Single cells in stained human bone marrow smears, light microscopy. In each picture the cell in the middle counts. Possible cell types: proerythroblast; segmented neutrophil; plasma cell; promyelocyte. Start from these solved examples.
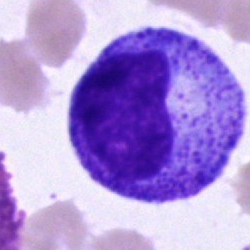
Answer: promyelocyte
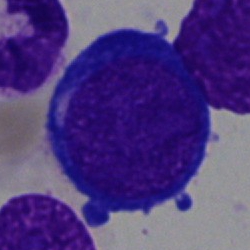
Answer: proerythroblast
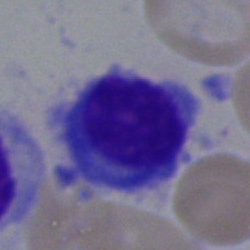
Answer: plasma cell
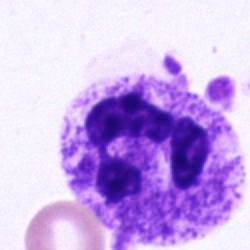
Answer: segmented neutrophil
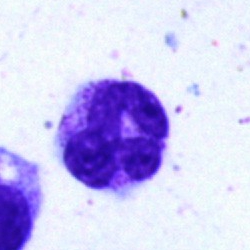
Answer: segmented neutrophil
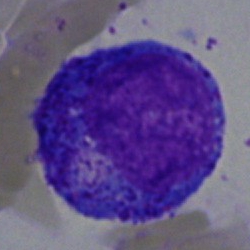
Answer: promyelocyte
